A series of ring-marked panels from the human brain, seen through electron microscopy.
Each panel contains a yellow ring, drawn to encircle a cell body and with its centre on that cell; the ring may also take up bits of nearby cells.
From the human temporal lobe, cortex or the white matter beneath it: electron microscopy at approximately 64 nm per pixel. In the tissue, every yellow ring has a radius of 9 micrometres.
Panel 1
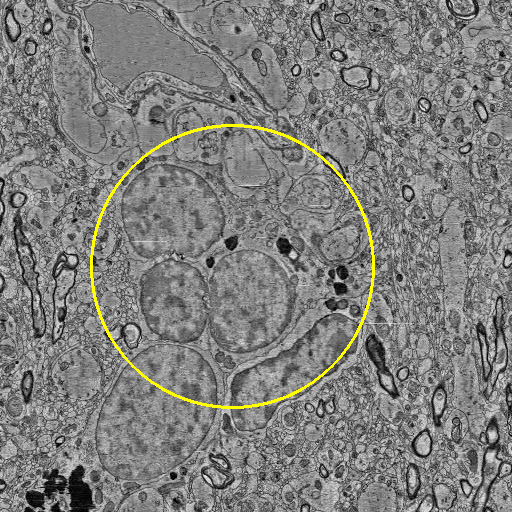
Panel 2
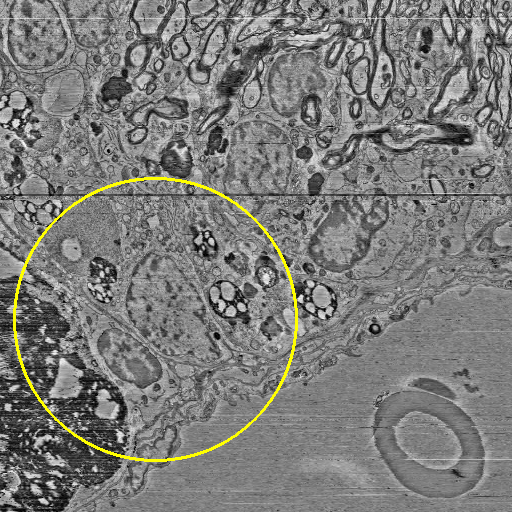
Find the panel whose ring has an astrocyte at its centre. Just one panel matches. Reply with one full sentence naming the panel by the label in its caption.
The sought cell lies at the centre of the ring shown in Panel 2.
